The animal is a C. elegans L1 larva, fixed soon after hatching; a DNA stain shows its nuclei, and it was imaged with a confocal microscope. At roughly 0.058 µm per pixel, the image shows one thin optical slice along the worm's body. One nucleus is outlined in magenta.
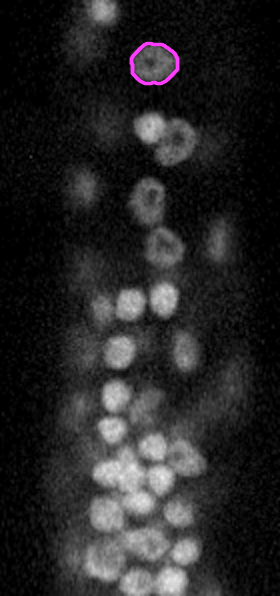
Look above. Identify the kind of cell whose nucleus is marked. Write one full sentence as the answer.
The marked nucleus is that of a seam cell.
